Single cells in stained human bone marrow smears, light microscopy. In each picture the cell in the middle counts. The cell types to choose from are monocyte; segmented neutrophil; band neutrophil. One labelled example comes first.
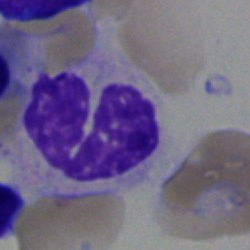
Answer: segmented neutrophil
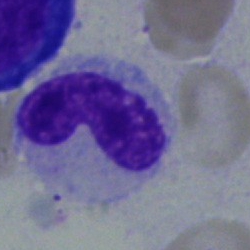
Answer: band neutrophil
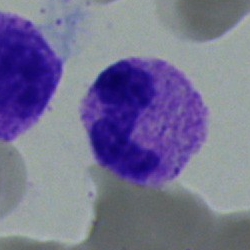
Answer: band neutrophil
